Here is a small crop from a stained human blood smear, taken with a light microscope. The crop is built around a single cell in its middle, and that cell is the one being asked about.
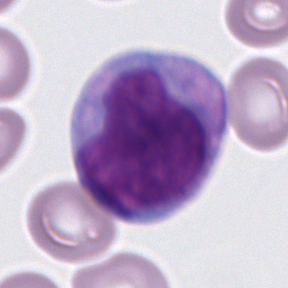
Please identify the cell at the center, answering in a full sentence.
What sits at the centre of this crop is an atypical promyelocyte.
